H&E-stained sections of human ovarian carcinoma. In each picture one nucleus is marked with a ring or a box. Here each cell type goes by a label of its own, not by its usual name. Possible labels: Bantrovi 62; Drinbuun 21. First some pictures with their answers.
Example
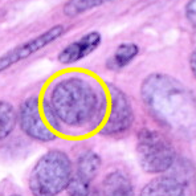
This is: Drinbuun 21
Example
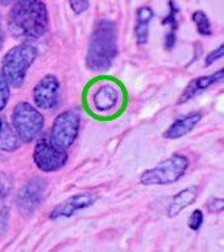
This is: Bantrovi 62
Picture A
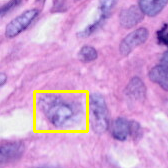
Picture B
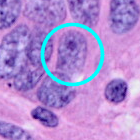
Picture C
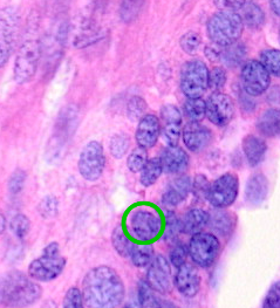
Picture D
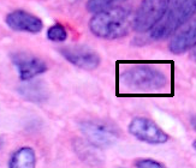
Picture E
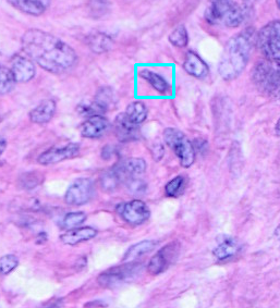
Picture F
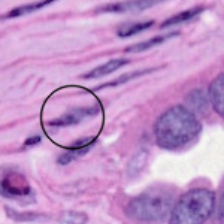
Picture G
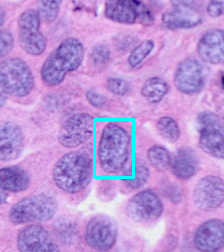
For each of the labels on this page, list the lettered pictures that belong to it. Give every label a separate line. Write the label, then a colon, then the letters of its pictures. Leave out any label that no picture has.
Bantrovi 62: A, D, E, F
Drinbuun 21: B, C, G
